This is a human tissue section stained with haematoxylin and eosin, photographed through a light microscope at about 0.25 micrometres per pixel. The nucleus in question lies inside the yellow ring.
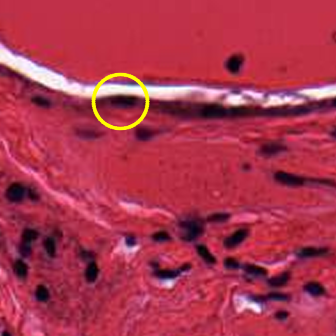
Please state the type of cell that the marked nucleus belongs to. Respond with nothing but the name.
thyroid follicular cell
